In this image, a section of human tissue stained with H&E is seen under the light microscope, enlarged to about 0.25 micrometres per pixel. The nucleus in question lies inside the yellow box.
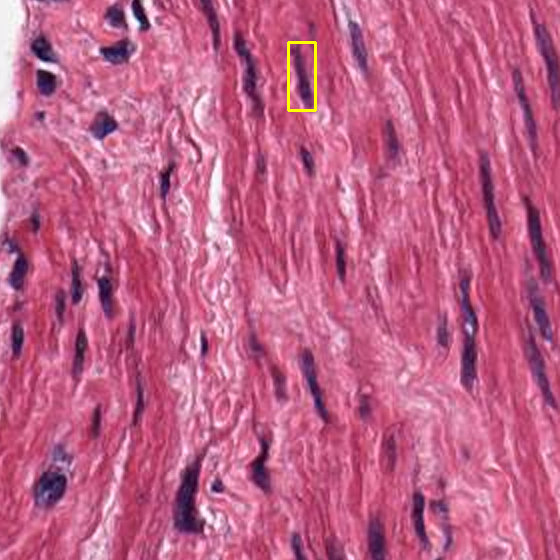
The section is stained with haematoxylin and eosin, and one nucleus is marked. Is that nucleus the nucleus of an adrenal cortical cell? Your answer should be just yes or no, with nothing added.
no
